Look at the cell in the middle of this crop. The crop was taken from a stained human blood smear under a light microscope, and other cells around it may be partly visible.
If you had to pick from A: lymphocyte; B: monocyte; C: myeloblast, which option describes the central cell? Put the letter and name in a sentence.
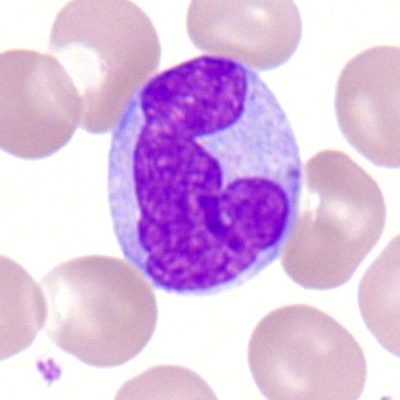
The centered cell is a monocyte, which is why option B is right.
